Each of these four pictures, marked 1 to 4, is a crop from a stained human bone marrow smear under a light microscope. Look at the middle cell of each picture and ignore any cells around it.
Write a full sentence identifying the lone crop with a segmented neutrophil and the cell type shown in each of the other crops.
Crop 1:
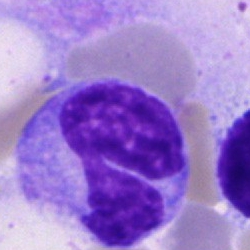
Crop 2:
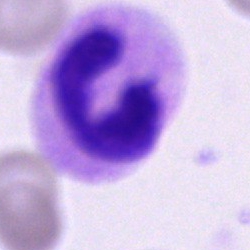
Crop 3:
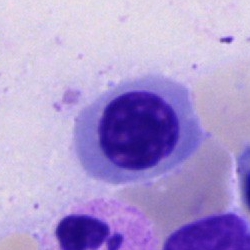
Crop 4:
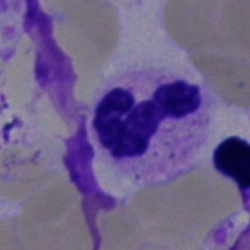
Crop 4 corresponds to a segmented neutrophil, whereas crop 1 is a monocyte, crop 2 is a band neutrophil and crop 3 is an erythroblast.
